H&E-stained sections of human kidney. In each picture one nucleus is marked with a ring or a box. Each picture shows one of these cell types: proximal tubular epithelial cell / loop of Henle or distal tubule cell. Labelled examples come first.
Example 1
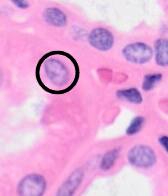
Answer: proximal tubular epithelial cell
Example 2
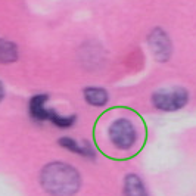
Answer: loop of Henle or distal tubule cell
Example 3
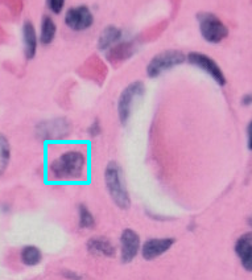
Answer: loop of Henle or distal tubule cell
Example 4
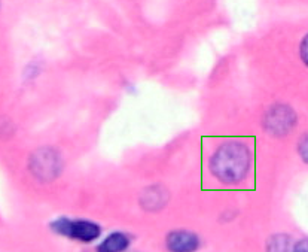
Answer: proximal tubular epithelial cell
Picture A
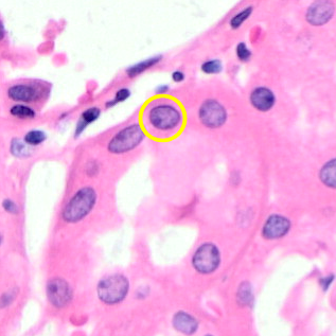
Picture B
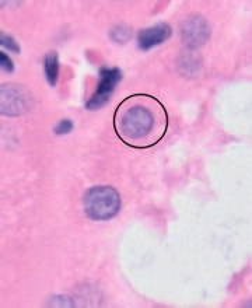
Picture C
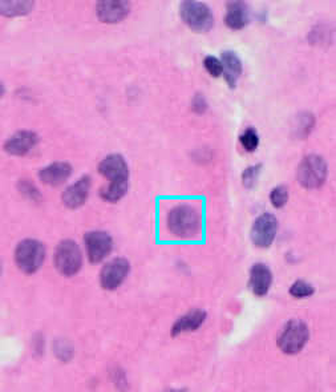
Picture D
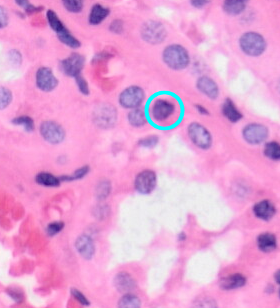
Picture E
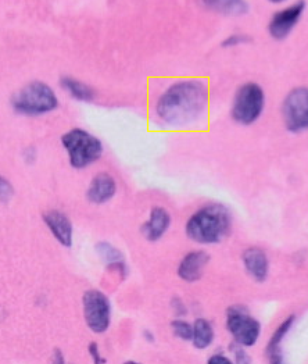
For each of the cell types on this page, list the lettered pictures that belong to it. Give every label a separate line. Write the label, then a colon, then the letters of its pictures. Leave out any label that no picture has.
proximal tubular epithelial cell: A, B, C
loop of Henle or distal tubule cell: D, E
